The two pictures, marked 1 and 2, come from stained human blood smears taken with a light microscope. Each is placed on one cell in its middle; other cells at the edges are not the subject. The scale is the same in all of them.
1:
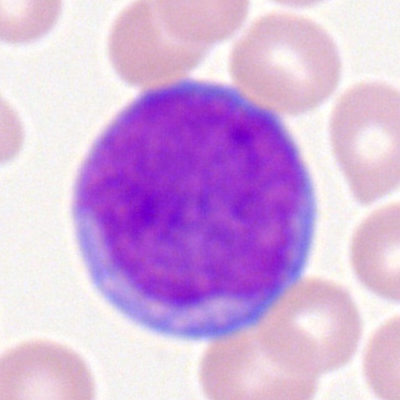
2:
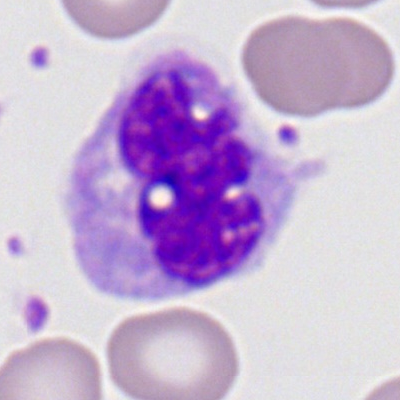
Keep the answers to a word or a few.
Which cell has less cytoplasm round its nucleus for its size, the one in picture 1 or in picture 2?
1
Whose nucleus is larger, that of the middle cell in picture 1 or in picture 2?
1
